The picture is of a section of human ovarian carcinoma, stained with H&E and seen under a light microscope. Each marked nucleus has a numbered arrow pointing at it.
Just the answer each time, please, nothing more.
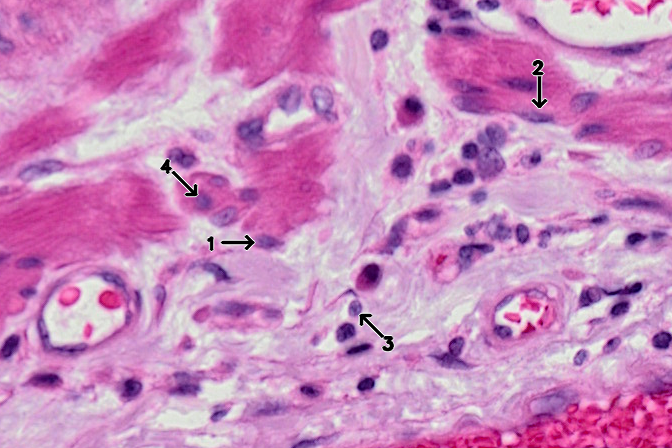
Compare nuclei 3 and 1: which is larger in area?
1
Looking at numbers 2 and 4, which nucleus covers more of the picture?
2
